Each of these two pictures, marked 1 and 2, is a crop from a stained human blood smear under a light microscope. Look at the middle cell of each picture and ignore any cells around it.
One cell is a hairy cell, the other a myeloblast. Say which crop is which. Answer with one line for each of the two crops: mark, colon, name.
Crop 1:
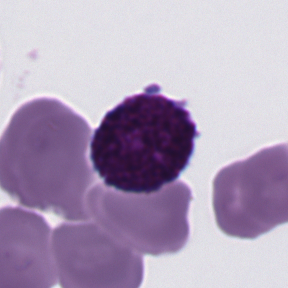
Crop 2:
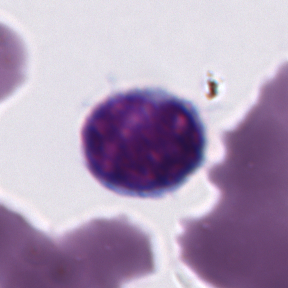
1: myeloblast
2: hairy cell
